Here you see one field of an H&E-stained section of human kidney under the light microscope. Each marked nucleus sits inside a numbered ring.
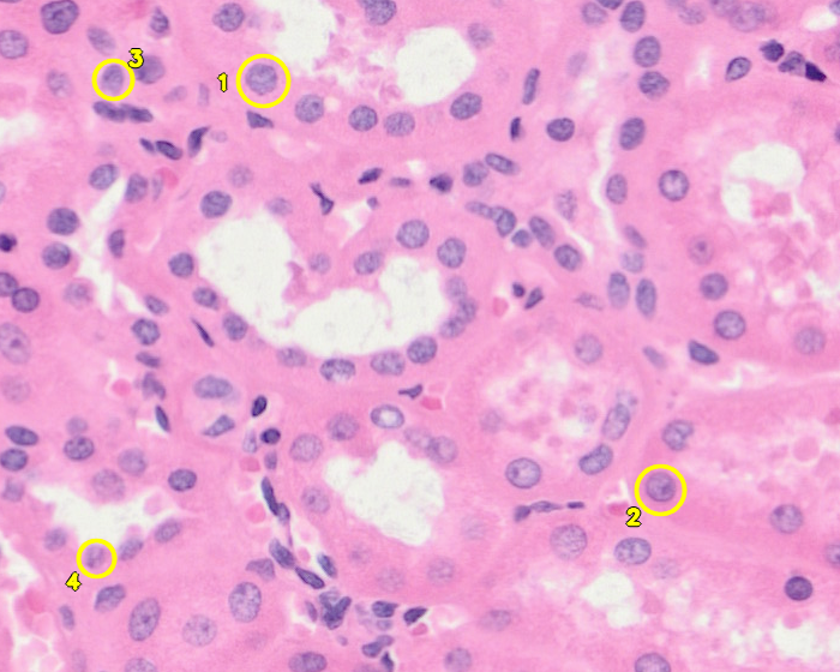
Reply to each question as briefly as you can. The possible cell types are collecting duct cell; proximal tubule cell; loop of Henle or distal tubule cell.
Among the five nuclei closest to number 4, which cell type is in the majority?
loop of Henle or distal tubule cell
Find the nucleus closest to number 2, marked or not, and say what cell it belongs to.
proximal tubule cell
